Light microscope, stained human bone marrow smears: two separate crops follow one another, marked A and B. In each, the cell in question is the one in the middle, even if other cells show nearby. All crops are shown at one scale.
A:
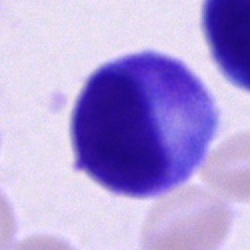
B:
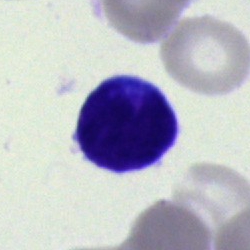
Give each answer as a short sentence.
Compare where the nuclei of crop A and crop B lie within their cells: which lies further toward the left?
It is the nucleus in crop A that lies further toward the left of its cell.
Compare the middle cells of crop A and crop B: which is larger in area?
Crop A holds the larger cell; it covers about 2 times the area of the cell in crop B.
